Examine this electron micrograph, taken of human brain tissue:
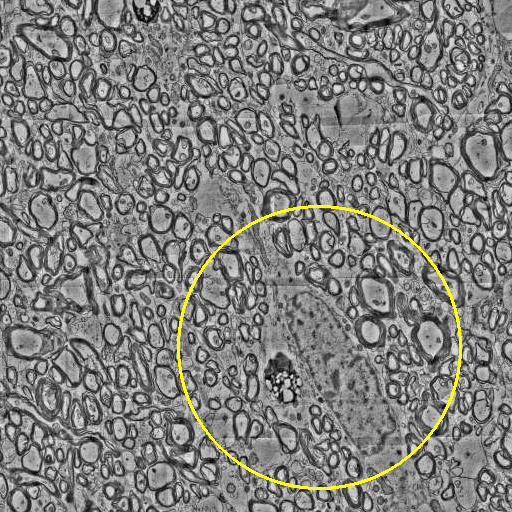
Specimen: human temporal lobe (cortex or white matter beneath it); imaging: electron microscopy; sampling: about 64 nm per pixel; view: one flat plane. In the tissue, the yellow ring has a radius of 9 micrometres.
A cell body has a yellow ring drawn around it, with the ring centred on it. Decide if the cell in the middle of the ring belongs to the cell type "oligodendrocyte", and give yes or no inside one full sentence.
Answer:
No, the cell at the centre of the yellow ring in this picture is of a different type.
